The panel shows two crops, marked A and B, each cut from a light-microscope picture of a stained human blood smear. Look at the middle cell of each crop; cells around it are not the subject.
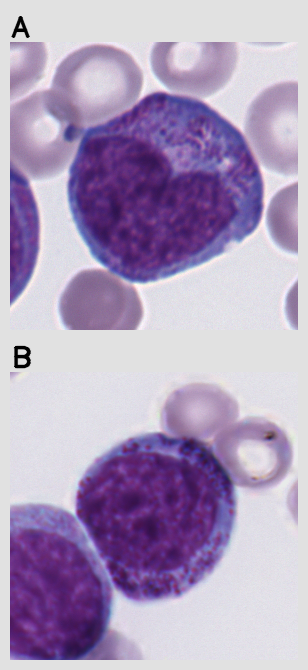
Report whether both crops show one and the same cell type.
yes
